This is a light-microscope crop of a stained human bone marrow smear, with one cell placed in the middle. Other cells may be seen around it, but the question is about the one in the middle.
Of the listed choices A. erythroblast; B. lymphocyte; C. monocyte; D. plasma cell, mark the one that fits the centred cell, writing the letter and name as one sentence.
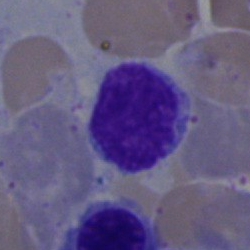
The one to choose is option B, as the cell in the middle is a lymphocyte.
